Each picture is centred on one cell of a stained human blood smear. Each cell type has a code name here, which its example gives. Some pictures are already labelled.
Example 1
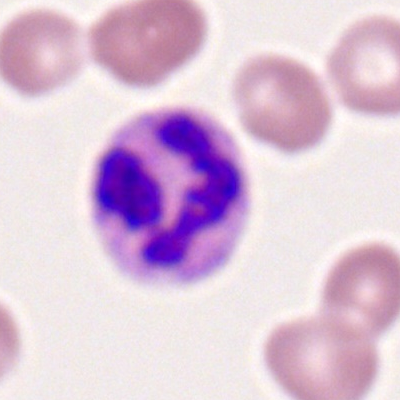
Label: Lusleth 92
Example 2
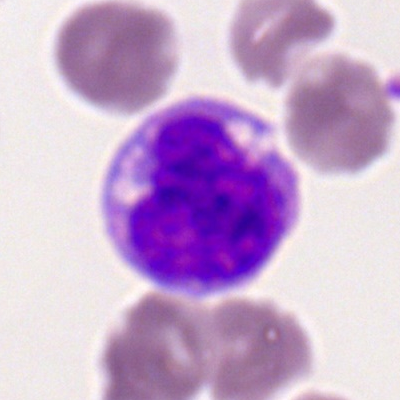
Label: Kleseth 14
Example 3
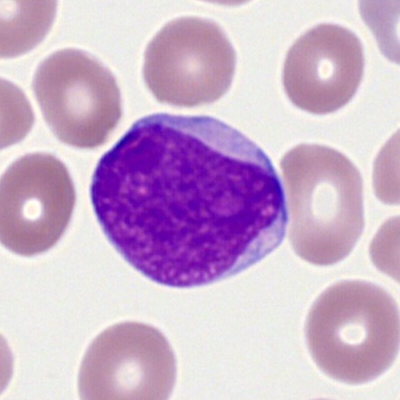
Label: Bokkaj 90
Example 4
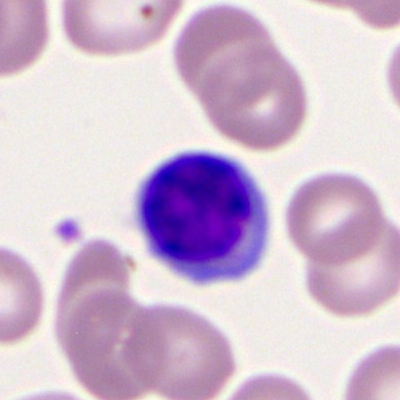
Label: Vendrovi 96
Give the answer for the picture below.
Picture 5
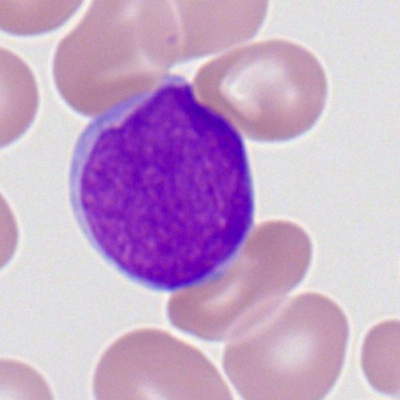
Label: Bokkaj 90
